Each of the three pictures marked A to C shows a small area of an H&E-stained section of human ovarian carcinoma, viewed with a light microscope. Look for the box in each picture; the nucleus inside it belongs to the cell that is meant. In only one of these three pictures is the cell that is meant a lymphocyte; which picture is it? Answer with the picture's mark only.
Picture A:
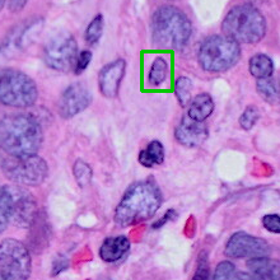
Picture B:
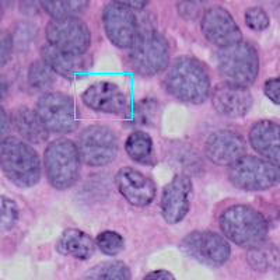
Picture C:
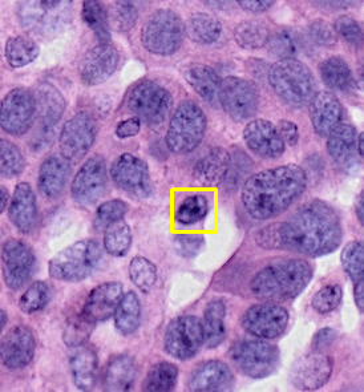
C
